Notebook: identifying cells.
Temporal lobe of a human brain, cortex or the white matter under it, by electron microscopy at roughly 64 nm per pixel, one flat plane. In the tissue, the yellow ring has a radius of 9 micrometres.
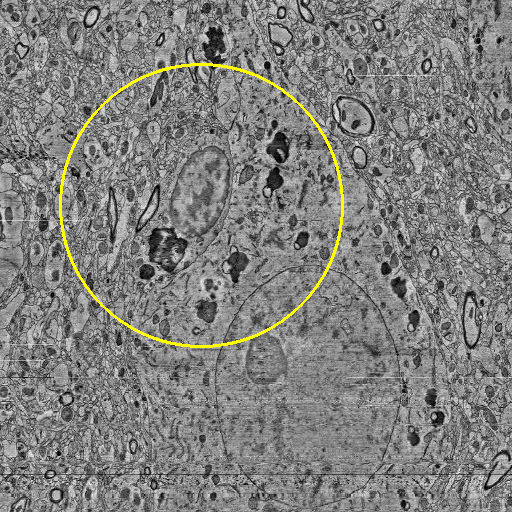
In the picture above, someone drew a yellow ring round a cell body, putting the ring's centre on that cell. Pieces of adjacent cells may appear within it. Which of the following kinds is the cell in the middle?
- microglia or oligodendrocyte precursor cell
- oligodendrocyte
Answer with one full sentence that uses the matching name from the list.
In this picture, the yellow ring is centred on the body of an oligodendrocyte.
